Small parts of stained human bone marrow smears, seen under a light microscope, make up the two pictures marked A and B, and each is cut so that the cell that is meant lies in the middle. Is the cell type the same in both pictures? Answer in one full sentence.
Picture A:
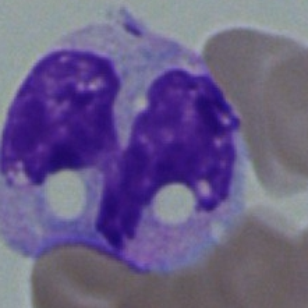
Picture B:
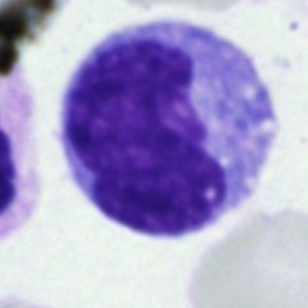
Yes; the cells in both pictures are monocytes.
